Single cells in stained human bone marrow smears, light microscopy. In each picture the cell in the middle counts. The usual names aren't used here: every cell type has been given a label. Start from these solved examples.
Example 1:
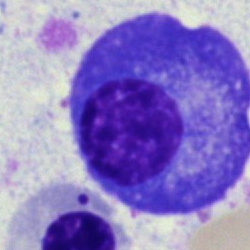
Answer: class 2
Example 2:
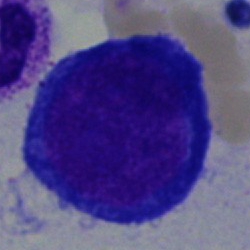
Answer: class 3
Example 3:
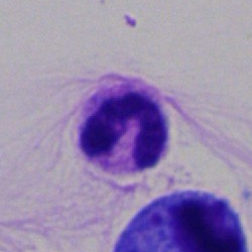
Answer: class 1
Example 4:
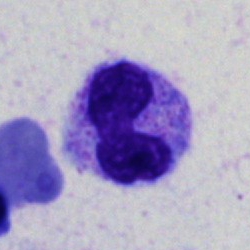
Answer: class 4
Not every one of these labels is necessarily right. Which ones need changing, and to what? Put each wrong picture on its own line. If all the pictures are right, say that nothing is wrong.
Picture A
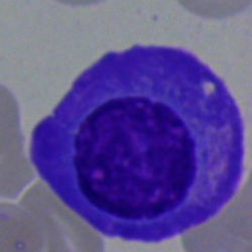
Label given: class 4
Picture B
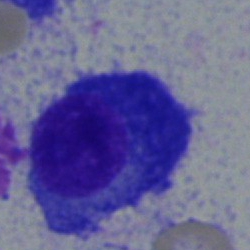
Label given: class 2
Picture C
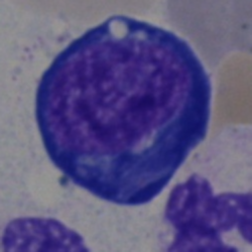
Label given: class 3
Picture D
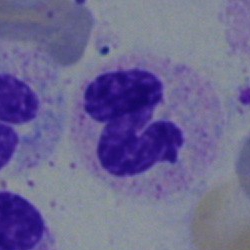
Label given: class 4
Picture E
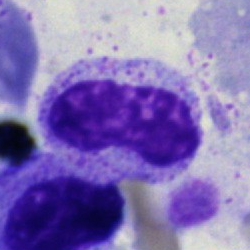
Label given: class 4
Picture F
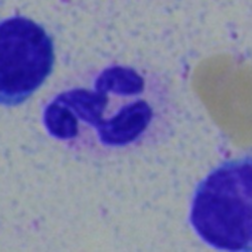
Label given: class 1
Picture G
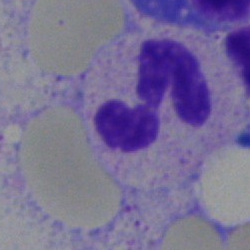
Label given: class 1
A is labelled class 4; correct label: class 2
